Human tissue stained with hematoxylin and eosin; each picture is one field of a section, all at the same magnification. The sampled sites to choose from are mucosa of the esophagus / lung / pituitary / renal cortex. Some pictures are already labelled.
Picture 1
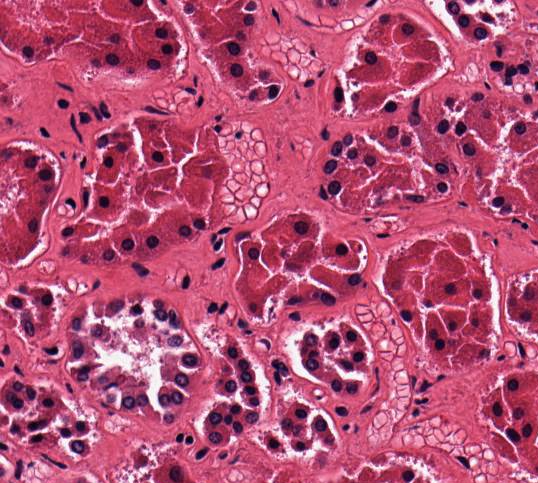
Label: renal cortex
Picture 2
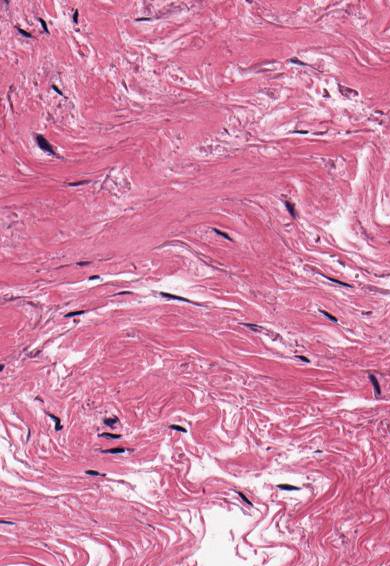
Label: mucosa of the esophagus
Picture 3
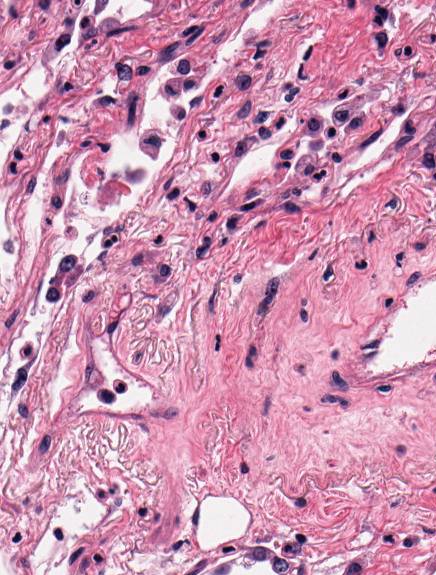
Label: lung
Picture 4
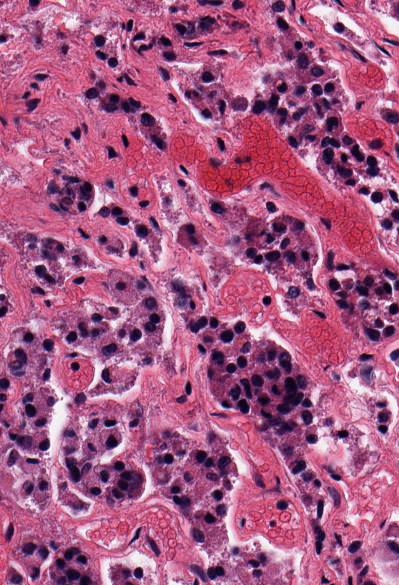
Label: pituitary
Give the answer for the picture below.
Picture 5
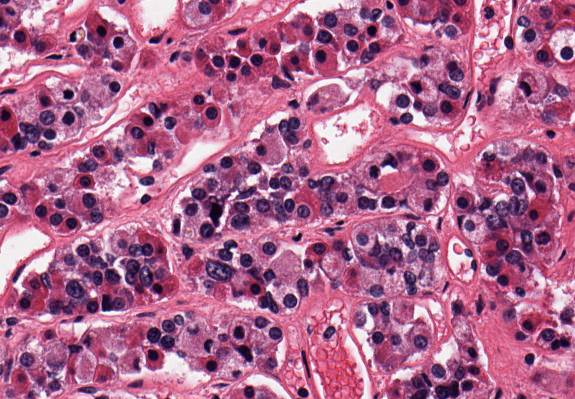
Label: pituitary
